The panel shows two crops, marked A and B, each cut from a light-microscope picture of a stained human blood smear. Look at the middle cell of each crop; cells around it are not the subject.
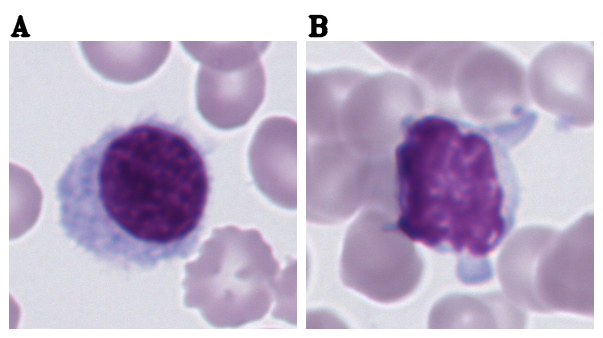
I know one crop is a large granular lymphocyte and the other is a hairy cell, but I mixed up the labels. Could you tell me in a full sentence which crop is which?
The middle cell in crop A is a hairy cell; the middle cell in crop B is a large granular lymphocyte.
